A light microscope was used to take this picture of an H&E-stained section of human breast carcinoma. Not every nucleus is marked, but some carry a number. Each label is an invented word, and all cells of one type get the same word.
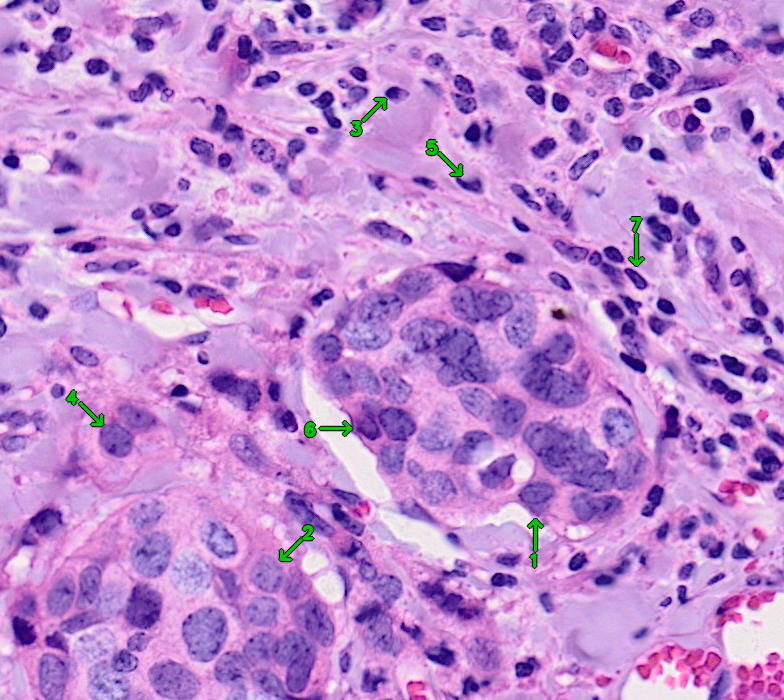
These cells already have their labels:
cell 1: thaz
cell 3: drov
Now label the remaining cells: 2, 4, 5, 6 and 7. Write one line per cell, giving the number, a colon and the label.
2: thaz
4: thaz
5: drov
6: thaz
7: drov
